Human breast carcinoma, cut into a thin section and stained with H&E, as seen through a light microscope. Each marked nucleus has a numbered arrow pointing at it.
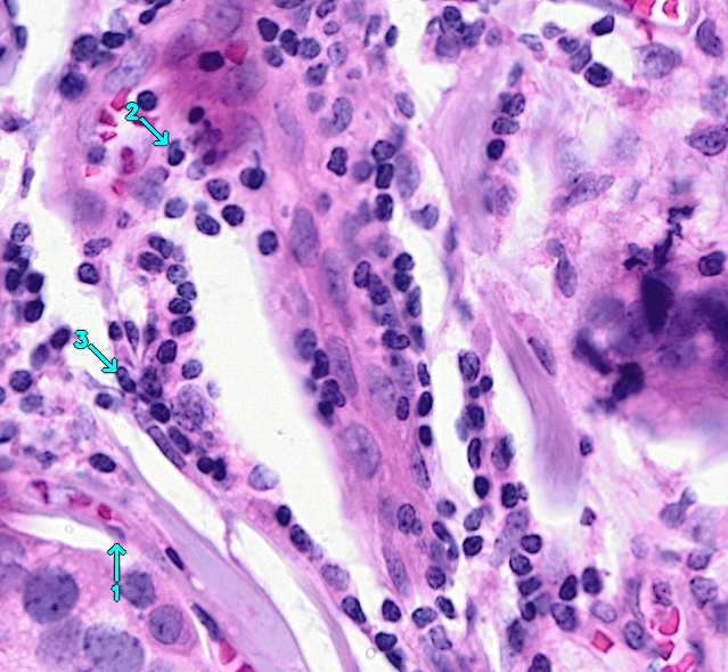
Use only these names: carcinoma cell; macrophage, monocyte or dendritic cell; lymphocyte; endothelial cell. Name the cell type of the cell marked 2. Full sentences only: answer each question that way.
That cell with number 2 is a lymphocyte.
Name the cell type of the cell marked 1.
The cell that carries the label 1 is an endothelial cell.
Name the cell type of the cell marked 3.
Here, the cell given the number 3 is a lymphocyte.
